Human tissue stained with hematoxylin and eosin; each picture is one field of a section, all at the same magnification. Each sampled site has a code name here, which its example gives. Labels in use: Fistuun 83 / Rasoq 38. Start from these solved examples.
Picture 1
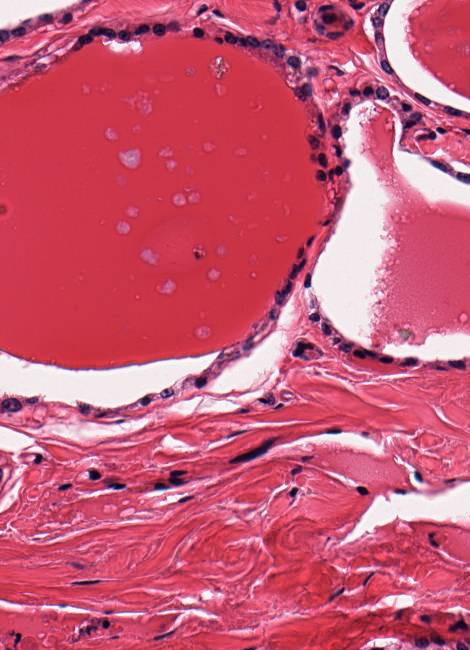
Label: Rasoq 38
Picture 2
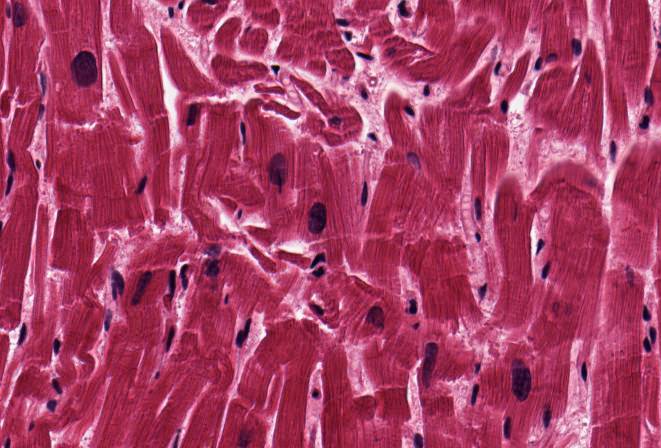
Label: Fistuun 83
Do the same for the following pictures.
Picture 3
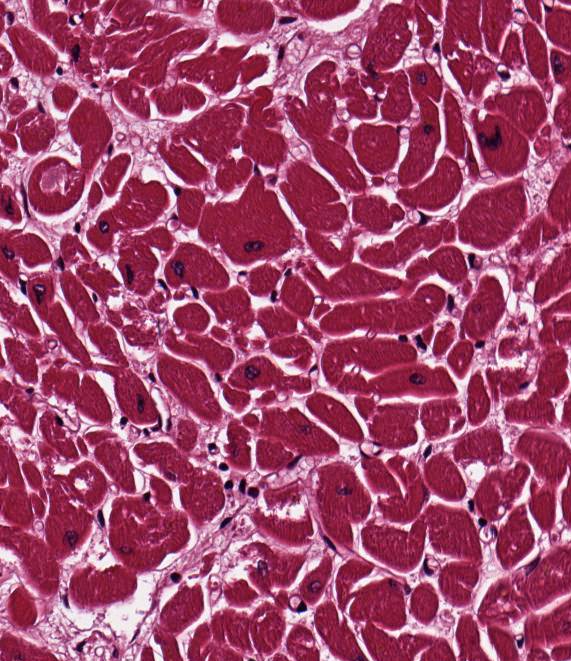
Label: Fistuun 83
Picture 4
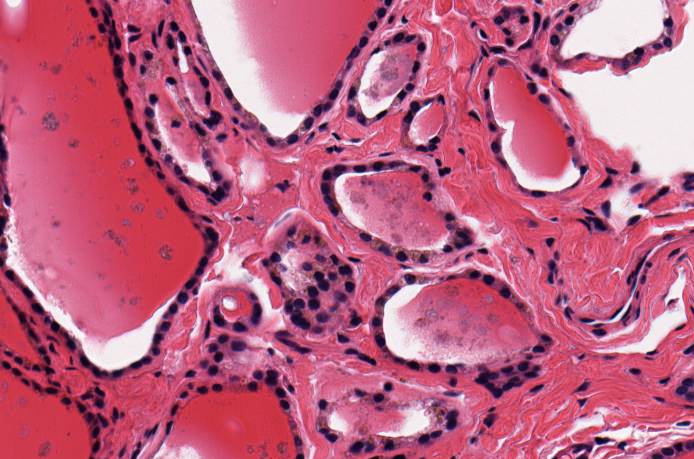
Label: Rasoq 38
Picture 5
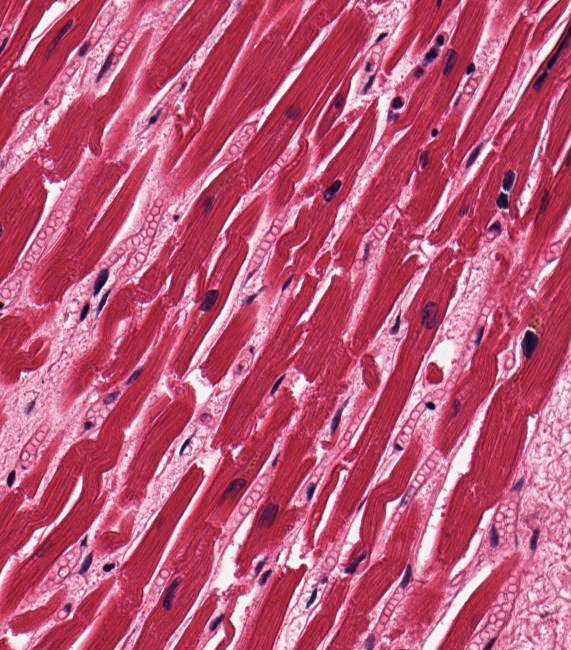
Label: Fistuun 83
